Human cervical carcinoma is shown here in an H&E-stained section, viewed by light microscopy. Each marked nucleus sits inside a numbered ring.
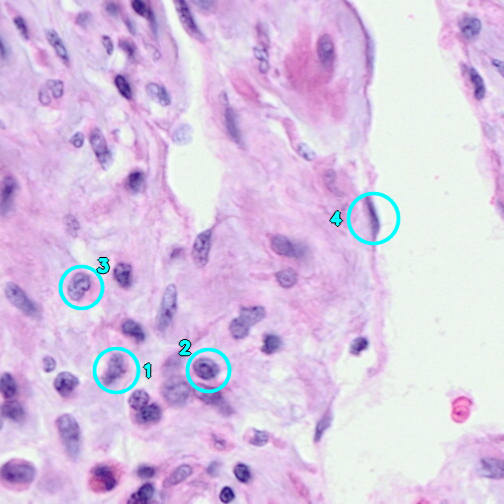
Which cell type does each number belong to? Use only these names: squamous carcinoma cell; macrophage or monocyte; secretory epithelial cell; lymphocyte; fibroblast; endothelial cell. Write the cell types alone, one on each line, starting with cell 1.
macrophage or monocyte
lymphocyte
macrophage or monocyte
endothelial cell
